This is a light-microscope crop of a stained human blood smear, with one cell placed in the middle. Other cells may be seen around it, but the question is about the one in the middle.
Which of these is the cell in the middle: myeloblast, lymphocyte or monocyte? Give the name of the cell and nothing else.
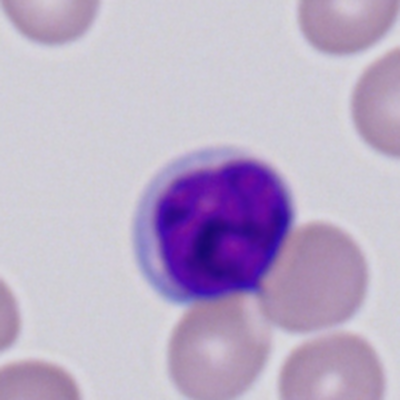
lymphocyte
